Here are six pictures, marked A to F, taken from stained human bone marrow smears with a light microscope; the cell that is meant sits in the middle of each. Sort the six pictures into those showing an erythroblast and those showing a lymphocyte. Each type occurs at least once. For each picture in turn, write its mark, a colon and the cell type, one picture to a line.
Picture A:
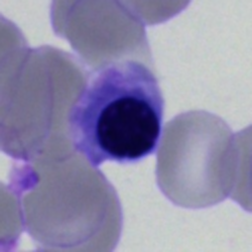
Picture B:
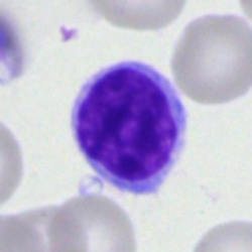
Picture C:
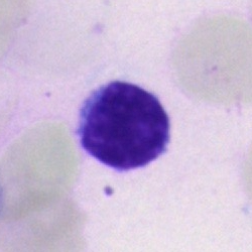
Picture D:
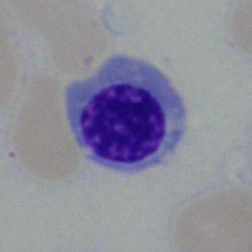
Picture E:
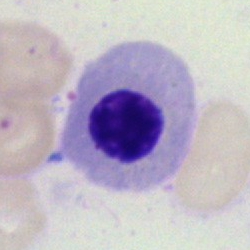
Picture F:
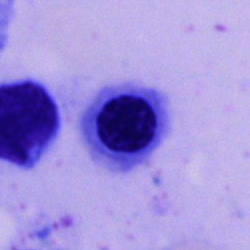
A: erythroblast
B: lymphocyte
C: lymphocyte
D: erythroblast
E: erythroblast
F: erythroblast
